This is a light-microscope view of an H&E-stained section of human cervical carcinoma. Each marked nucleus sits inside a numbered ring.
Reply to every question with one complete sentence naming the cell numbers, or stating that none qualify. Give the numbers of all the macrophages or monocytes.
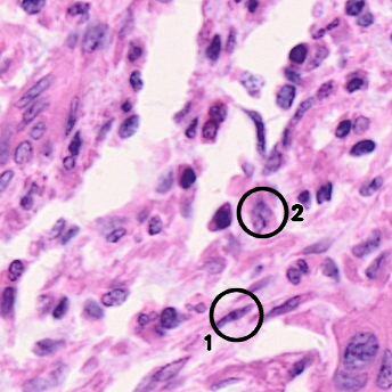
The nucleus labelled 2 alone belongs to a macrophage or monocyte; the other marked nuclei do not.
